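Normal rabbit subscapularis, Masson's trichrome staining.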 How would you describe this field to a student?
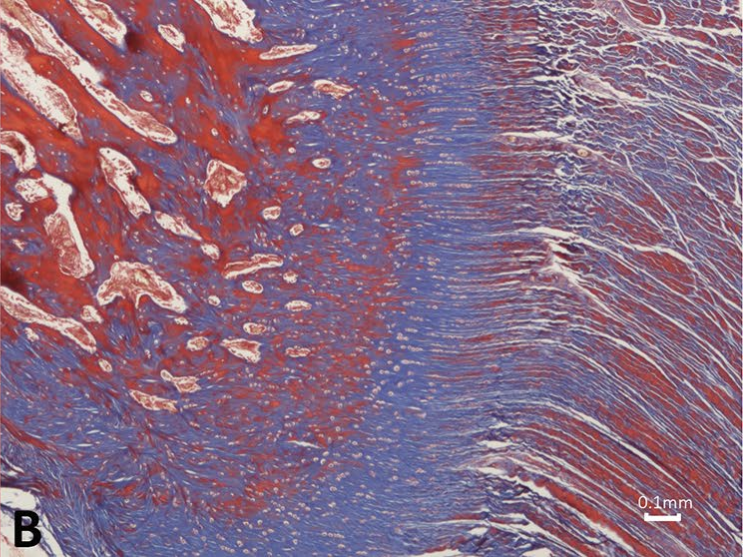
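This is a bone-tendon junction in which bone passes through fibrocartilage into tendon from left to right. On the left, the bone stains red and contains many pale, irregular marrow spaces. In the middle, a blue-stained matrix holds many small rounded fibrochondrocytes in lacunae, aligned in rows toward the tendon, with patches of red. On the right, the tendon consists of long, parallel, slightly wavy collagen fibers stained blue with red streaks and narrow clefts between bundles.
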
